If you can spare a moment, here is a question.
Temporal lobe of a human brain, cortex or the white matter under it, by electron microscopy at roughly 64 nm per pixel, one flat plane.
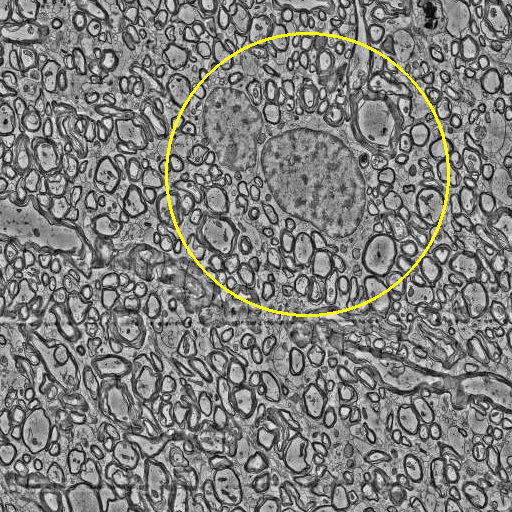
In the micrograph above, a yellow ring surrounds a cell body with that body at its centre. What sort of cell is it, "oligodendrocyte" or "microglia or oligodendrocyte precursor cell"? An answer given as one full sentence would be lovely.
Centred inside the yellow ring, the cell body shown belongs to an oligodendrocyte in this micrograph.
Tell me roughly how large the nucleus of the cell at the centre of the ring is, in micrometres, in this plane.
About 8 by 6 micrometers, in this plane.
